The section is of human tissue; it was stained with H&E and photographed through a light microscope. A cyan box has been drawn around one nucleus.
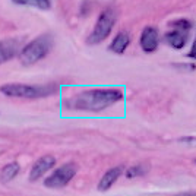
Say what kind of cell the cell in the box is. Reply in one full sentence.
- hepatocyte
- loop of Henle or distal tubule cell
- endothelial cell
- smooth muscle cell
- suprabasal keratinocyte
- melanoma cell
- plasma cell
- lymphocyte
The cell in the box appears to be a smooth muscle cell.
